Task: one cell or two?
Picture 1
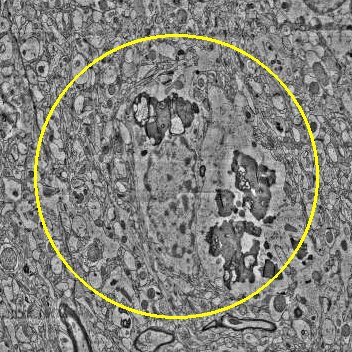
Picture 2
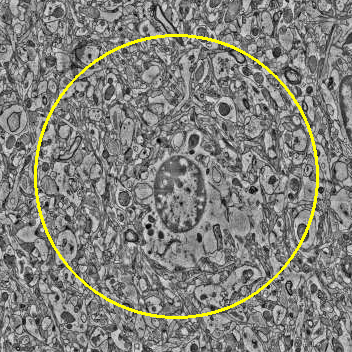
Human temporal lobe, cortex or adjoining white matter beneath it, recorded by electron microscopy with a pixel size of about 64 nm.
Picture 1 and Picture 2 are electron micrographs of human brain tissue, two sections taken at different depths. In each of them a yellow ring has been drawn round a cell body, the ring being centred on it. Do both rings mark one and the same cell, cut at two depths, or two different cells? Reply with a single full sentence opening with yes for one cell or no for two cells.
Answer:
No, the rings do not mark the same cell.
